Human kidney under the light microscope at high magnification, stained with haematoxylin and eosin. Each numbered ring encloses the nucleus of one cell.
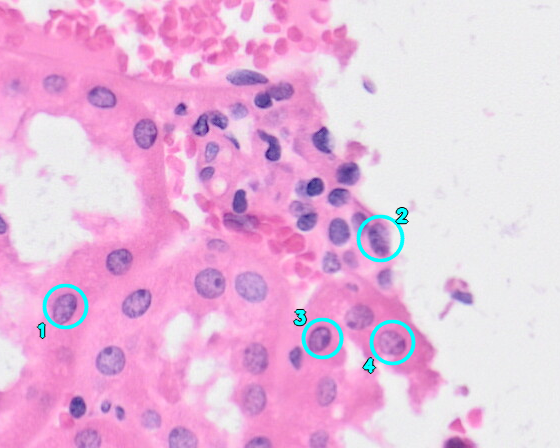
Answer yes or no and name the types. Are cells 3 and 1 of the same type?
Yes, cell number 3 and cell number 1 are both proximal tubule cells.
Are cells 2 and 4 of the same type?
No, the cell at number 2 is a collecting duct cell, and the cell at number 4 is a proximal tubule cell.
